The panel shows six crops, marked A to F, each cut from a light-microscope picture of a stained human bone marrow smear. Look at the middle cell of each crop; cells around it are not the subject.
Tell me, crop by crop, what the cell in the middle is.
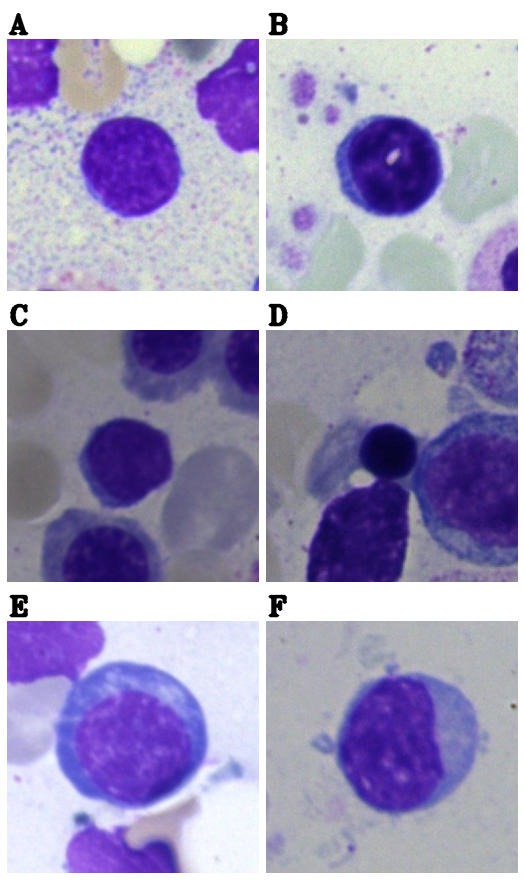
A: lymphocyte
B: lymphocyte
C: lymphocyte
D: erythroblast
E: erythroblast
F: blast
